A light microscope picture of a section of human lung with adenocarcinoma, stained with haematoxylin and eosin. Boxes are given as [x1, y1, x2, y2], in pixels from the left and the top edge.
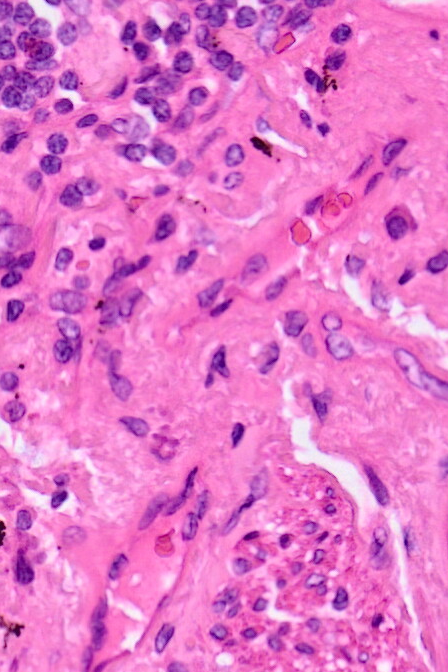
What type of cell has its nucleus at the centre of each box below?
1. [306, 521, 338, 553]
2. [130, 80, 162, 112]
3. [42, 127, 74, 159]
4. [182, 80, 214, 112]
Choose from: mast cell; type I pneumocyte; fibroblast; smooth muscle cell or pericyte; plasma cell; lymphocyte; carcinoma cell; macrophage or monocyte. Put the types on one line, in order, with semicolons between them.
smooth muscle cell or pericyte; lymphocyte; lymphocyte; lymphocyte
